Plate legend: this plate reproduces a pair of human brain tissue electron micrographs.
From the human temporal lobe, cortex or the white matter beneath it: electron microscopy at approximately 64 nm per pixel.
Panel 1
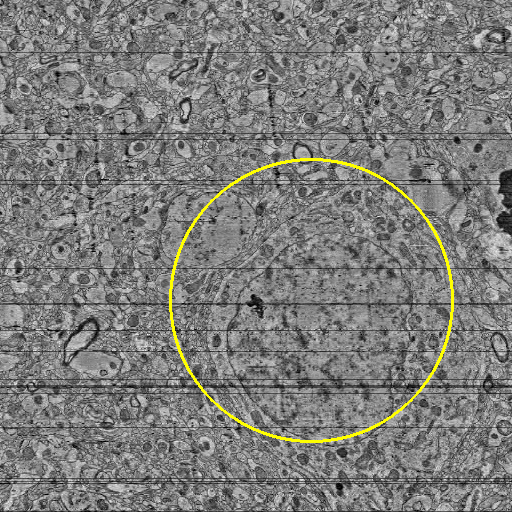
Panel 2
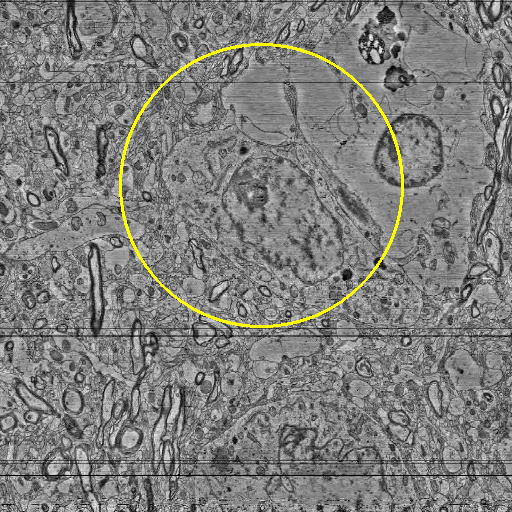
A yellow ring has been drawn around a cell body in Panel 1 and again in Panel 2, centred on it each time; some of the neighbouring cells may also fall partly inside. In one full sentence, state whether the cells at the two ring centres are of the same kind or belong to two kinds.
The ring-centred cells of Panel 1 and Panel 2 are of the same kind.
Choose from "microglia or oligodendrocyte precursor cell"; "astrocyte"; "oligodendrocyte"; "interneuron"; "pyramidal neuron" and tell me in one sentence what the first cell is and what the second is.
Both pictures show an interneuron at the centre of the ring.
